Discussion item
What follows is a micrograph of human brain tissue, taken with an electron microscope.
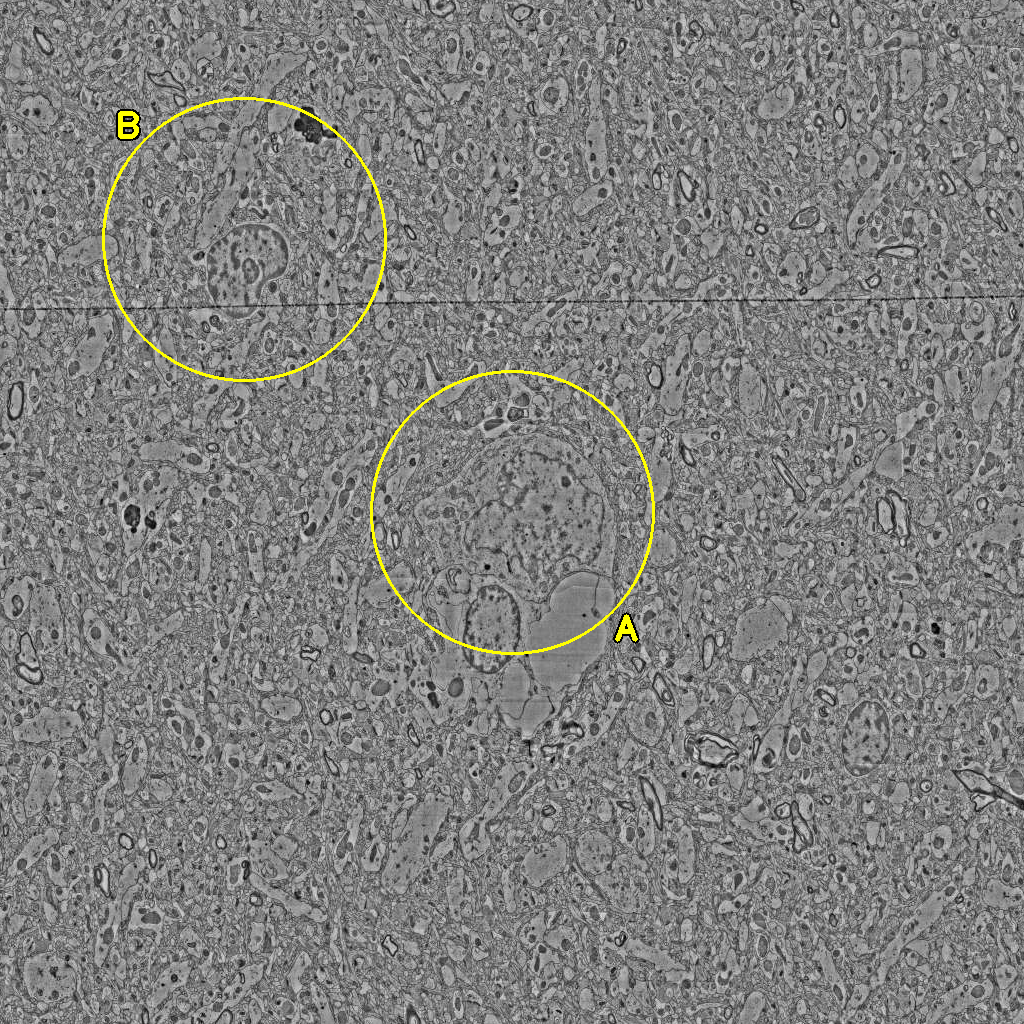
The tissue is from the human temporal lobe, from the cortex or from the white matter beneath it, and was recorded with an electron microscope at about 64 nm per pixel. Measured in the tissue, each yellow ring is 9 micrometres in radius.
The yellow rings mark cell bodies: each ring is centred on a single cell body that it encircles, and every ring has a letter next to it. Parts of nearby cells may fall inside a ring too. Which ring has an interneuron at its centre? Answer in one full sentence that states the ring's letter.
Ring A is the ring whose centre falls on the cell the question asks about.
